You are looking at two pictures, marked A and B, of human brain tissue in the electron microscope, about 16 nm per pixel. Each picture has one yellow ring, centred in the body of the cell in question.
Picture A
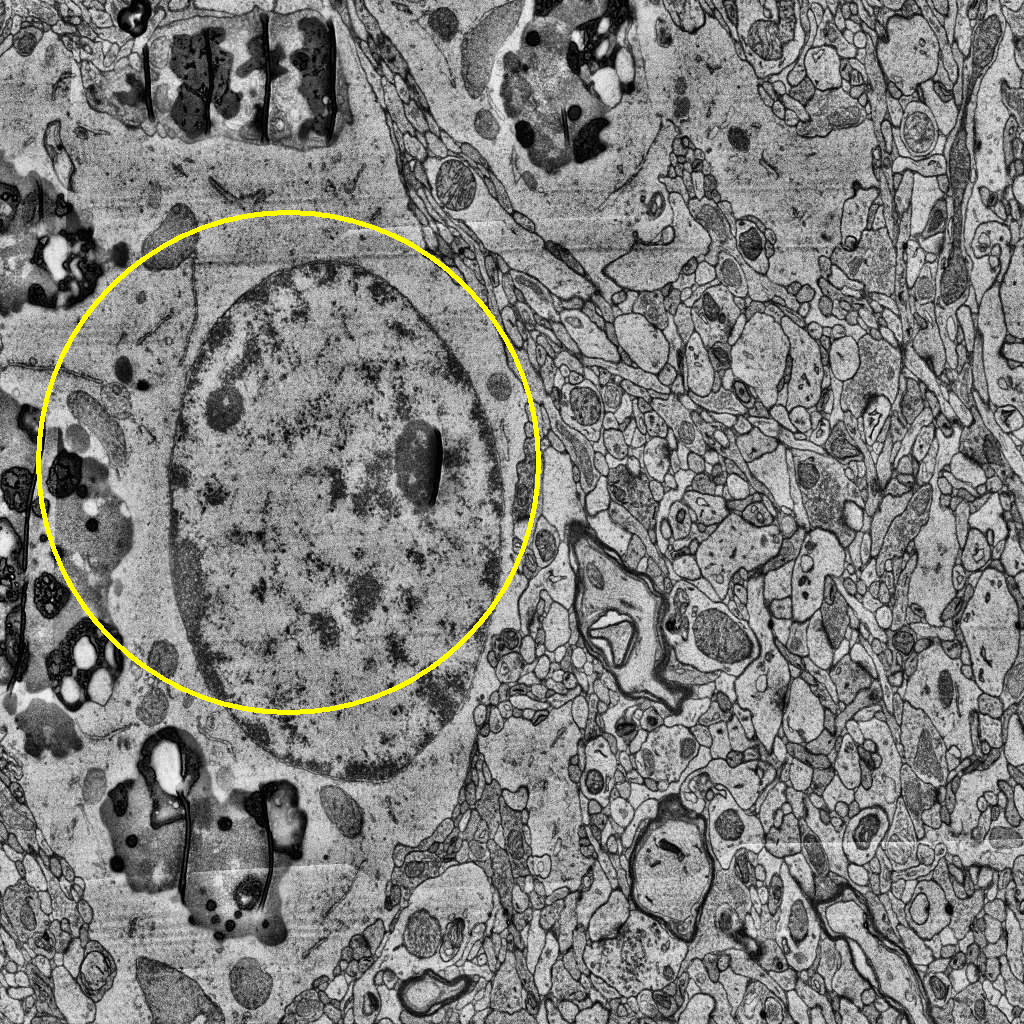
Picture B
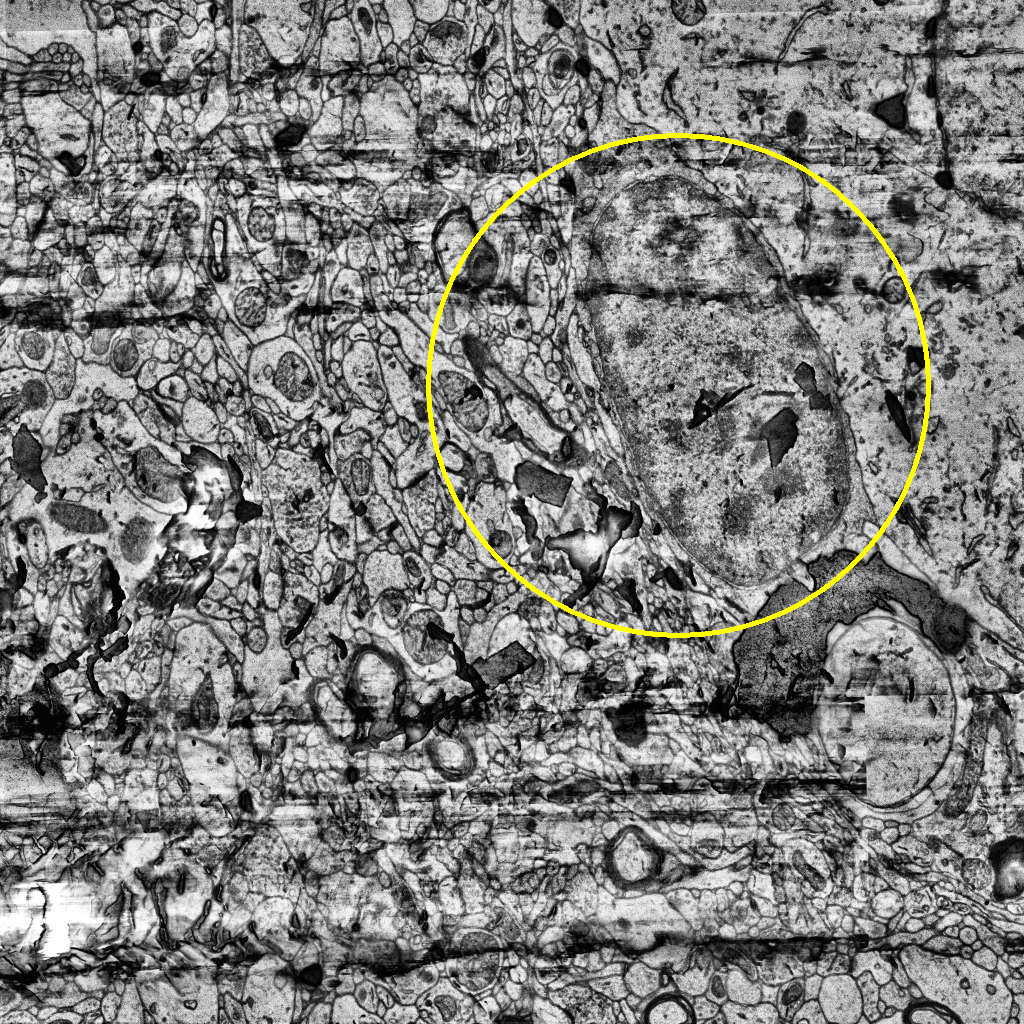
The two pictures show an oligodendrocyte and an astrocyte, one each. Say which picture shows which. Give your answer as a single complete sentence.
In picture A the cell is an astrocyte; in picture B, an oligodendrocyte.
